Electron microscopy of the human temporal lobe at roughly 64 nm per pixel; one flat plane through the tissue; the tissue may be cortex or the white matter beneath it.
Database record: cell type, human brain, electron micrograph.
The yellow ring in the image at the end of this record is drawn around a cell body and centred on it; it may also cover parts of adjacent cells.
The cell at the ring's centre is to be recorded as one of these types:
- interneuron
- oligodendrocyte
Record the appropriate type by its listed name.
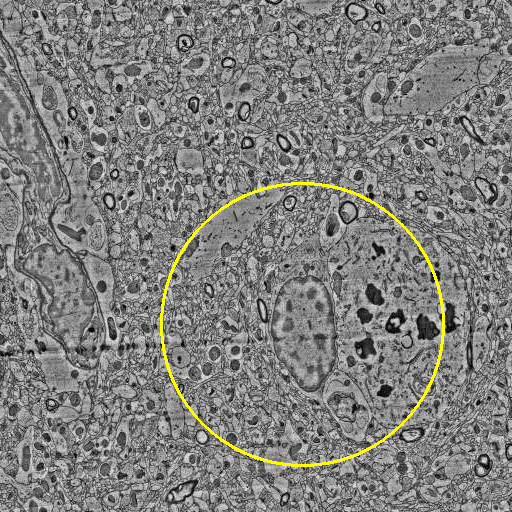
oligodendrocyte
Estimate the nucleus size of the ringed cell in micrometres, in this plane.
The nucleus appears roughly 7 by 4 micrometres in this plane.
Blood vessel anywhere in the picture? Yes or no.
Yes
